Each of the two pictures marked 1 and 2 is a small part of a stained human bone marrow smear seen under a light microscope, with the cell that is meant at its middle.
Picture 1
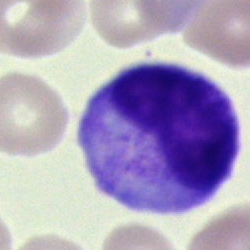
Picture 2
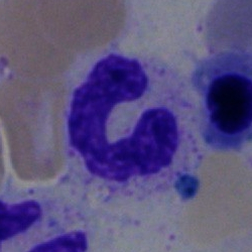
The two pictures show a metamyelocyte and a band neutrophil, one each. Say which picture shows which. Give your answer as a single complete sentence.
In picture 1 the cell is a metamyelocyte; in picture 2, a band neutrophil.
